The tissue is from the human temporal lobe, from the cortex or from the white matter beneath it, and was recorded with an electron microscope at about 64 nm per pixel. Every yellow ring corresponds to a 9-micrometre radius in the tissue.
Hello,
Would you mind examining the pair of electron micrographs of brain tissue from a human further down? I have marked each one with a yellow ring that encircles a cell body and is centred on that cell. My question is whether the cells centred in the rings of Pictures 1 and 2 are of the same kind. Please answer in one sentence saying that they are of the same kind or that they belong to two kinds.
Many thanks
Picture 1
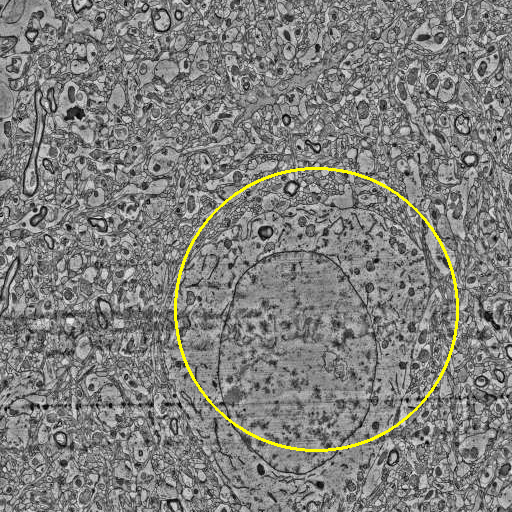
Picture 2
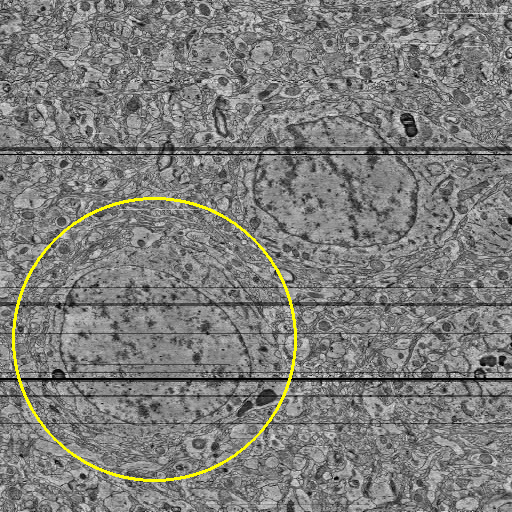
In Pictures 1 and 2, the cells at the heart of the rings are of the same kind.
